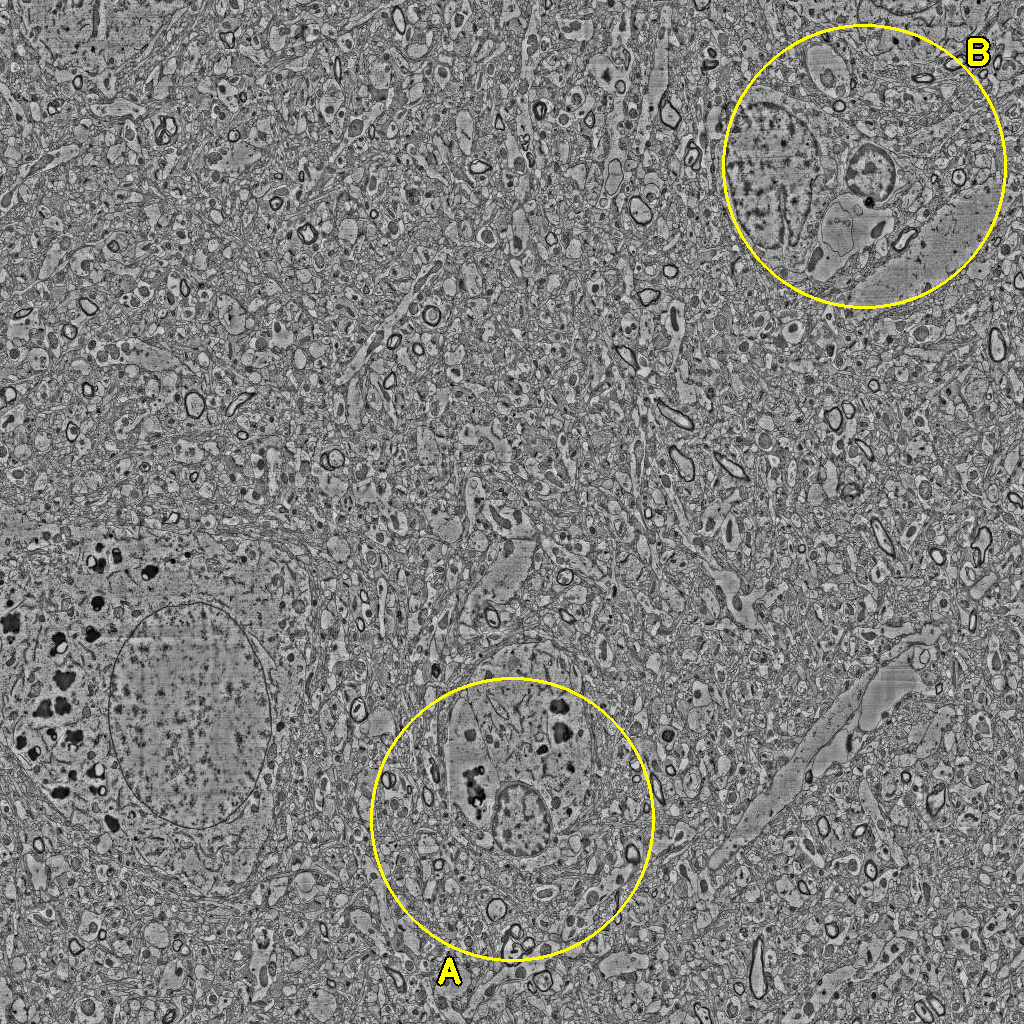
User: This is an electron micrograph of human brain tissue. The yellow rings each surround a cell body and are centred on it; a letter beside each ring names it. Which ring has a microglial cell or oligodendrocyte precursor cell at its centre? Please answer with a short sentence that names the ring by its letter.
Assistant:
Ring B has it at its centre.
